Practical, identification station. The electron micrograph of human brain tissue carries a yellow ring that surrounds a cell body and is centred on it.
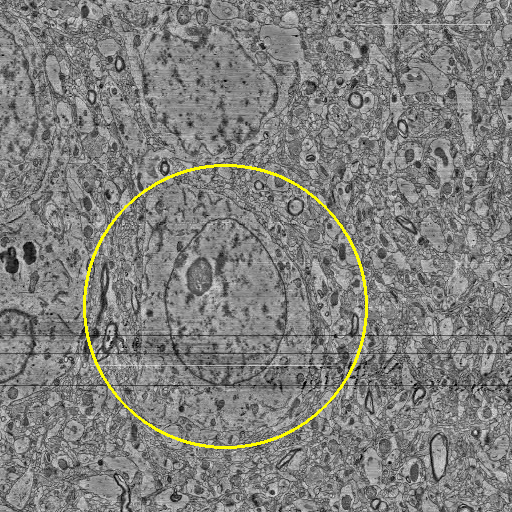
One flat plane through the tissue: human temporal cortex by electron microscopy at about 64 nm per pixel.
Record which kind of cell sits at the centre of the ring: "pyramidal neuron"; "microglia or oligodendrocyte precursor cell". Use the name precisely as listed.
pyramidal neuron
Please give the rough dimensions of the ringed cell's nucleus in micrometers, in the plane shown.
In this plane, the nucleus of the cell at the centre of the ring measures about 11 by 8 micrometres.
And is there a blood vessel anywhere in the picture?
No, a blood vessel is absent from this picture.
